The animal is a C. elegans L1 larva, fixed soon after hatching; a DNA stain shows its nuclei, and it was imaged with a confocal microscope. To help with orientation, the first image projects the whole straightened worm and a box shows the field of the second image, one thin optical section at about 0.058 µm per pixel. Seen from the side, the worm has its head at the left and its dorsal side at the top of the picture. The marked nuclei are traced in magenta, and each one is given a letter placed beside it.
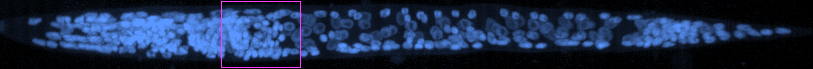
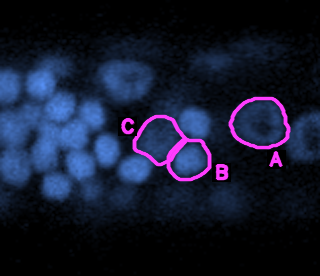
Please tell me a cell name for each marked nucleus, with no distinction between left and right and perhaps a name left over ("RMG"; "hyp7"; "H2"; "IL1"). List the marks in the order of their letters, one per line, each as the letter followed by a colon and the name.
A: hyp7
B: RMG
C: H2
